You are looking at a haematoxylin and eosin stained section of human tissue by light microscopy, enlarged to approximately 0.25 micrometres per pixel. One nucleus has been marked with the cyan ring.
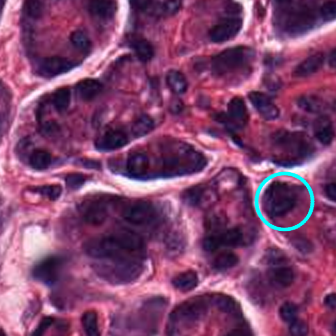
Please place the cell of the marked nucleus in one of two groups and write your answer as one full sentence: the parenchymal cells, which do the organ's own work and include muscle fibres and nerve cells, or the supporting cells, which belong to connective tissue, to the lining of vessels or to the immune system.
The marked nucleus is attributed to a parenchymal cell, namely a pancreatic acinar cell.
